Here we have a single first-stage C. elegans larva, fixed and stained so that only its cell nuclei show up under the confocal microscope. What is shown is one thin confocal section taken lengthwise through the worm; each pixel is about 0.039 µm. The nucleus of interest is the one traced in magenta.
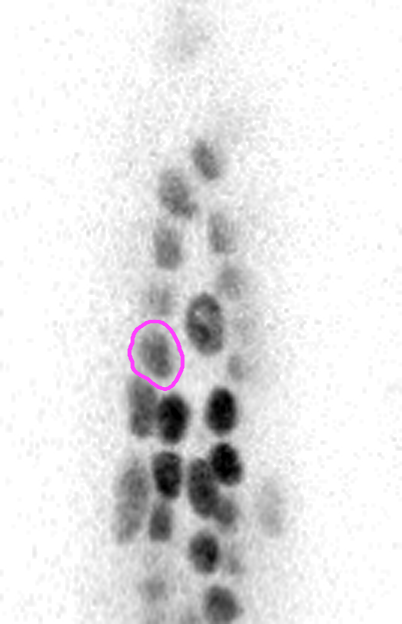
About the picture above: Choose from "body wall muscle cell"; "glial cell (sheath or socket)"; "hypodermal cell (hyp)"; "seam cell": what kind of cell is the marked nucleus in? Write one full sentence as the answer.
The marked cell is a hypodermal cell (hyp).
